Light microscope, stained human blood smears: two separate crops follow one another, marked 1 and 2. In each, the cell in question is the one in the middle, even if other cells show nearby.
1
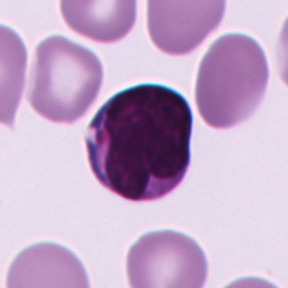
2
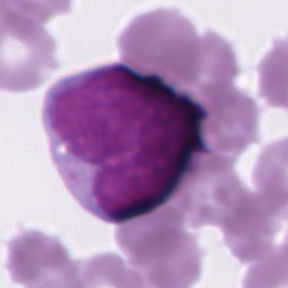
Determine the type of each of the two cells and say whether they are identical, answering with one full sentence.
No, a typical lymphocyte is what crop 1 shows, and a myeloblast is what crop 2 shows.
